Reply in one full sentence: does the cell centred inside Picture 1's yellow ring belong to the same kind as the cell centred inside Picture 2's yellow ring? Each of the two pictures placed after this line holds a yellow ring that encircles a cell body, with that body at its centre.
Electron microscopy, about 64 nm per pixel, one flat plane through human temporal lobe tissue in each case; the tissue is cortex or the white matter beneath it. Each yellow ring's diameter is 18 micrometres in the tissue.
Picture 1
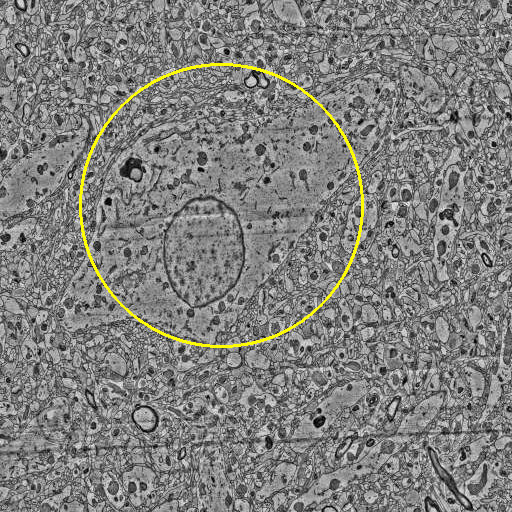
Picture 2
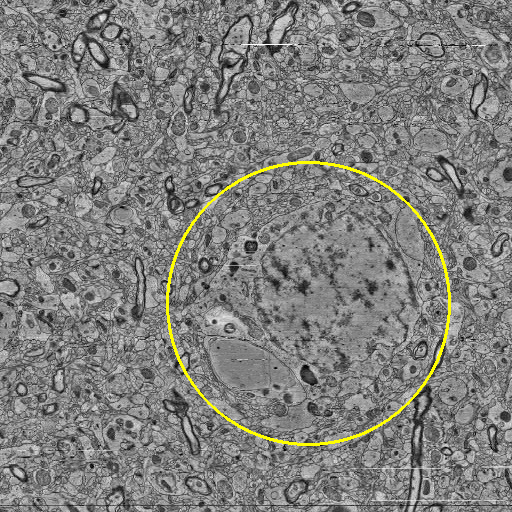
No, the ring-centred cells in Picture 1 and Picture 2 are of two separate kinds.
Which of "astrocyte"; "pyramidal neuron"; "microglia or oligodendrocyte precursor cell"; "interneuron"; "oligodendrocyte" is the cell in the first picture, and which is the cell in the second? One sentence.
The two differ: the first cell is a pyramidal neuron and the second is an interneuron.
